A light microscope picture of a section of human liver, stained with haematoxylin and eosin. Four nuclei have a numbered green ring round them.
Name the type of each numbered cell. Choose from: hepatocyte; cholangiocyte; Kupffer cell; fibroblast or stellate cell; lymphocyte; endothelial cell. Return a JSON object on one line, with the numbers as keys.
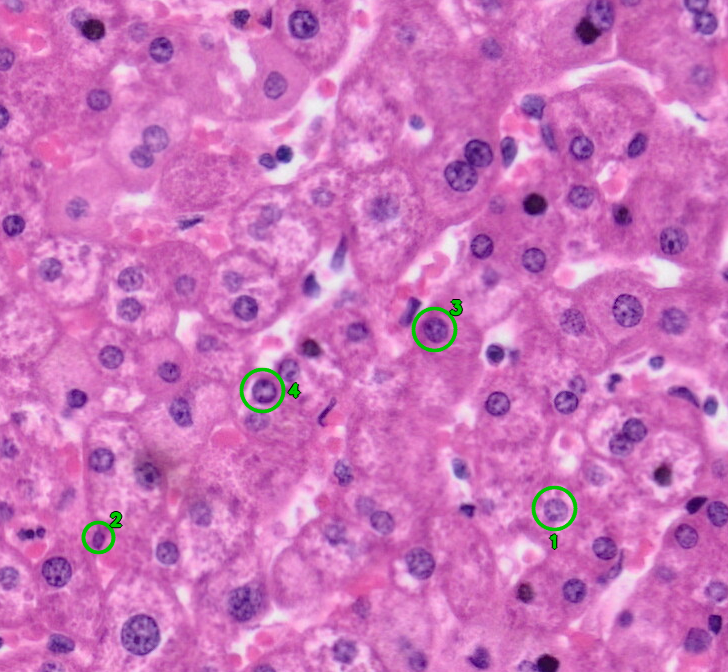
{"1": "hepatocyte", "2": "fibroblast or stellate cell", "3": "hepatocyte", "4": "hepatocyte"}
